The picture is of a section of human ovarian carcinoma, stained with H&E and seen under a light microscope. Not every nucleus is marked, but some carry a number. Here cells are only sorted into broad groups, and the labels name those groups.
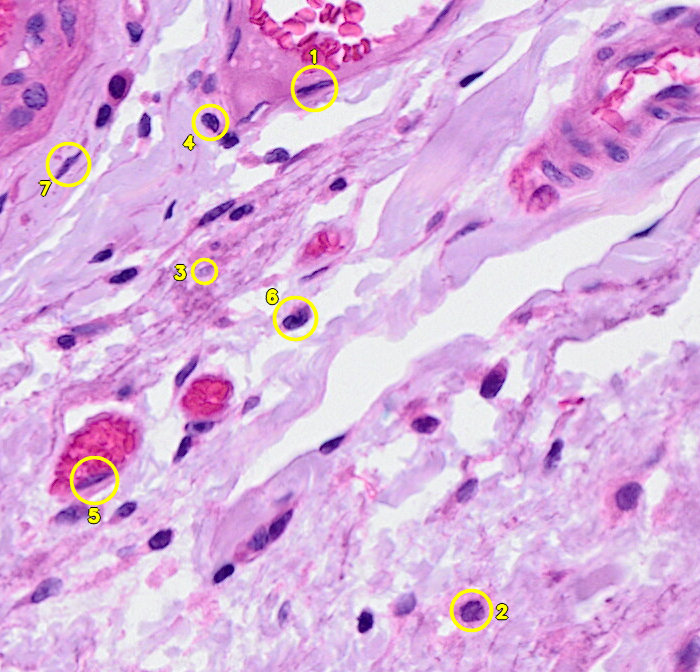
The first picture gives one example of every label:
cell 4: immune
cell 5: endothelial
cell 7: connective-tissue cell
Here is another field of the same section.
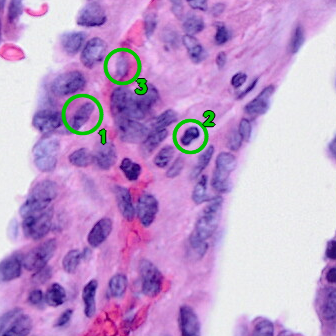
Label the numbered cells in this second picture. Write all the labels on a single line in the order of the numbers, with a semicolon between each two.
immune; immune; endothelial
